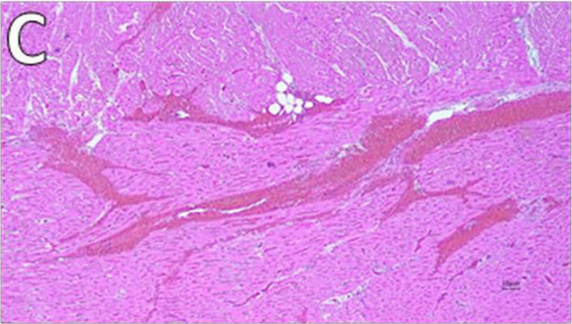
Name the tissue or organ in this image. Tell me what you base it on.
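Bundles of pink muscle fibers running in several directions. Small group of fat cells at the top of the tissue. That points to this answer: Heart.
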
